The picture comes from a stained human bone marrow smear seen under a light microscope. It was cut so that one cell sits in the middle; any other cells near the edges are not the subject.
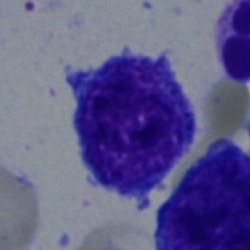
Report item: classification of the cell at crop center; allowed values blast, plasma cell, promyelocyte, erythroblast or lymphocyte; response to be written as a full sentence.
Standing at the centre of this crop is a blast.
